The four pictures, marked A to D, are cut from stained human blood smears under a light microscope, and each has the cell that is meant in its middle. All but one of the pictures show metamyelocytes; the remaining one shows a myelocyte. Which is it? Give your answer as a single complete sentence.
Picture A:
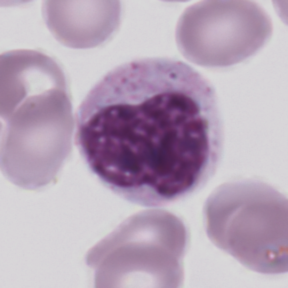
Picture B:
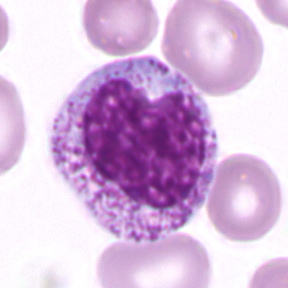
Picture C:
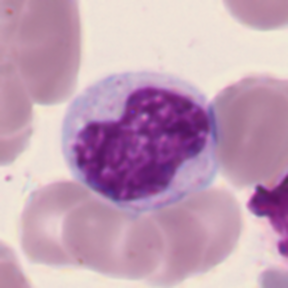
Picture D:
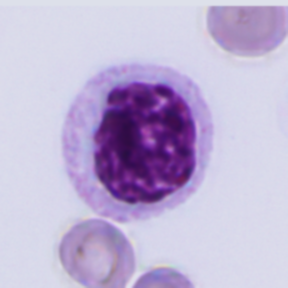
The myelocyte is the one in picture B.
